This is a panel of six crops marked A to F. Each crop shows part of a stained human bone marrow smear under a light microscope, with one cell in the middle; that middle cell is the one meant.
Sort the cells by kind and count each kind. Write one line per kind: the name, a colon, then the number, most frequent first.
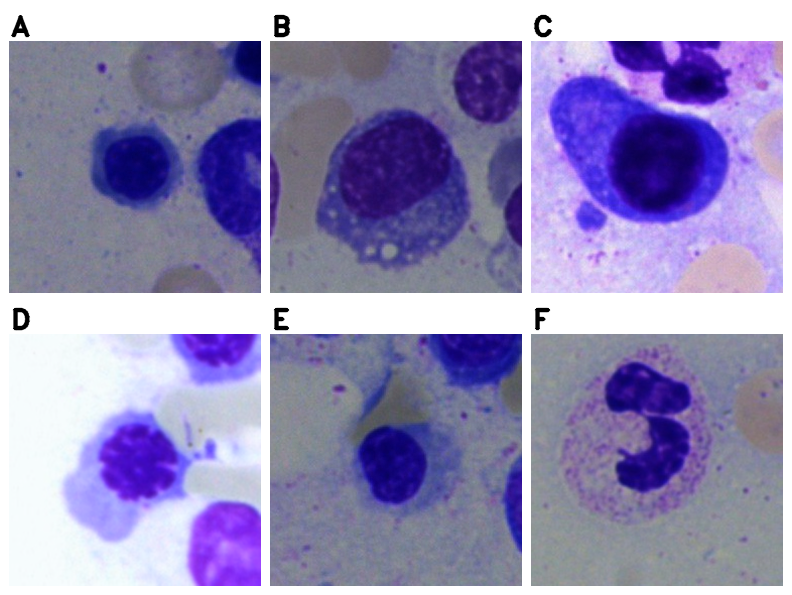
erythroblast: 3
plasma cell: 2
segmented neutrophil: 1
